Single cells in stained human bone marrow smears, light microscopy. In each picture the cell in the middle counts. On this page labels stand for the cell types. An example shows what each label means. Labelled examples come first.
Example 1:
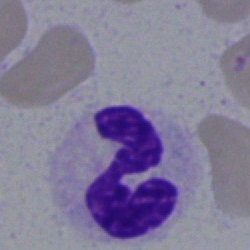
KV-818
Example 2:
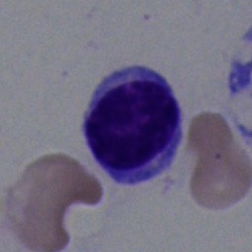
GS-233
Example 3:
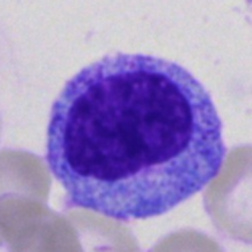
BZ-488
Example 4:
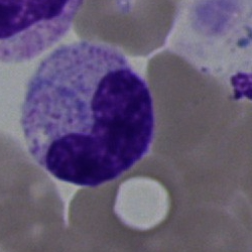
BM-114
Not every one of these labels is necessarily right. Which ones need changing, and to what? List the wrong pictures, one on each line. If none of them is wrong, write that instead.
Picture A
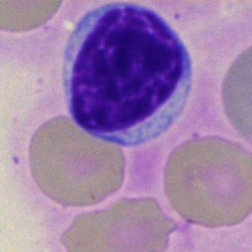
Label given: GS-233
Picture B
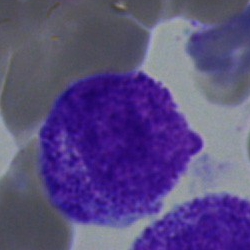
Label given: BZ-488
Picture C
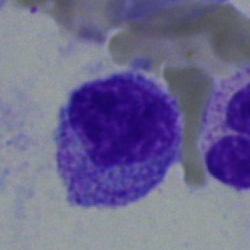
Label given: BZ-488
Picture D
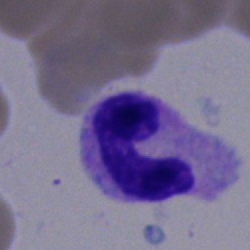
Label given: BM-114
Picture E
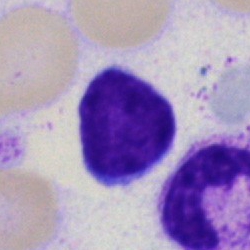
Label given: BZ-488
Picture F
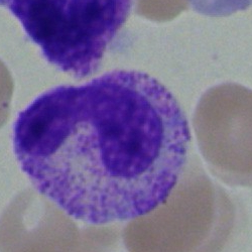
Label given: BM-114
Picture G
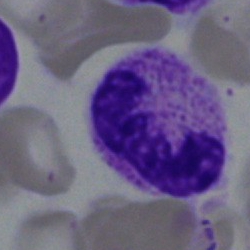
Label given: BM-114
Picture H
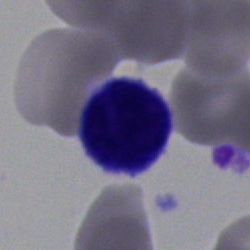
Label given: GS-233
E: GS-233, not BZ-488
